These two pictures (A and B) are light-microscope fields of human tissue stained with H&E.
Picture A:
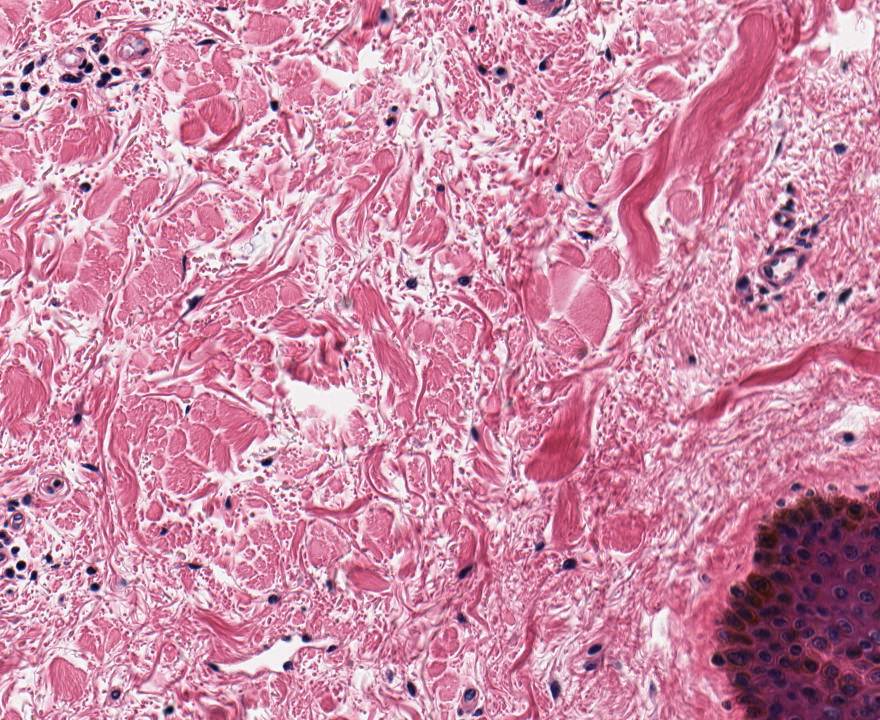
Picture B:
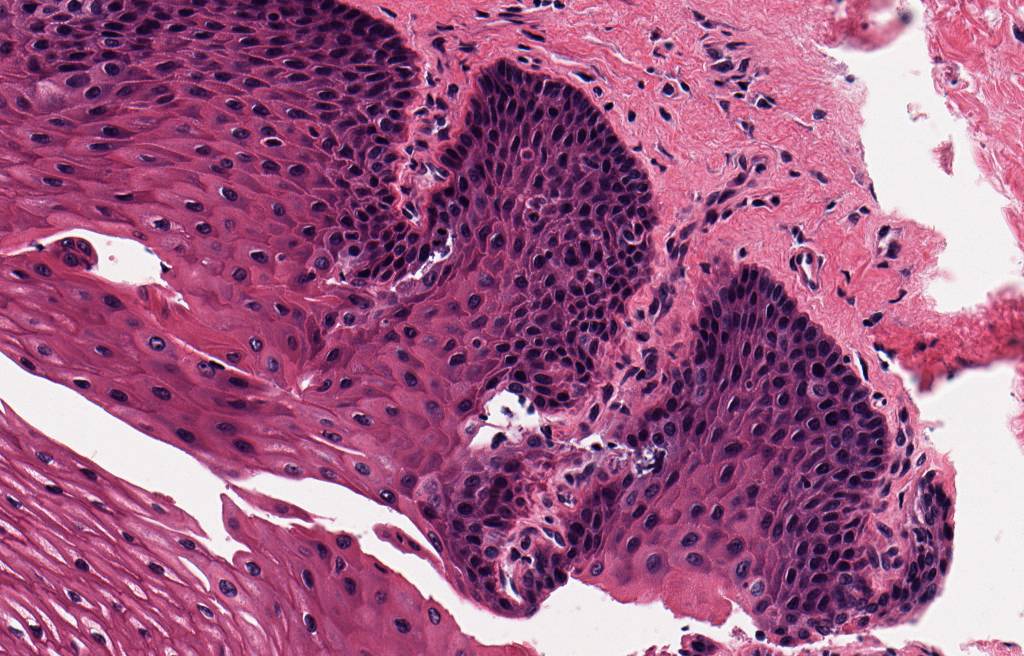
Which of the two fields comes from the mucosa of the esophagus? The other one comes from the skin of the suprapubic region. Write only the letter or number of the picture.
B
